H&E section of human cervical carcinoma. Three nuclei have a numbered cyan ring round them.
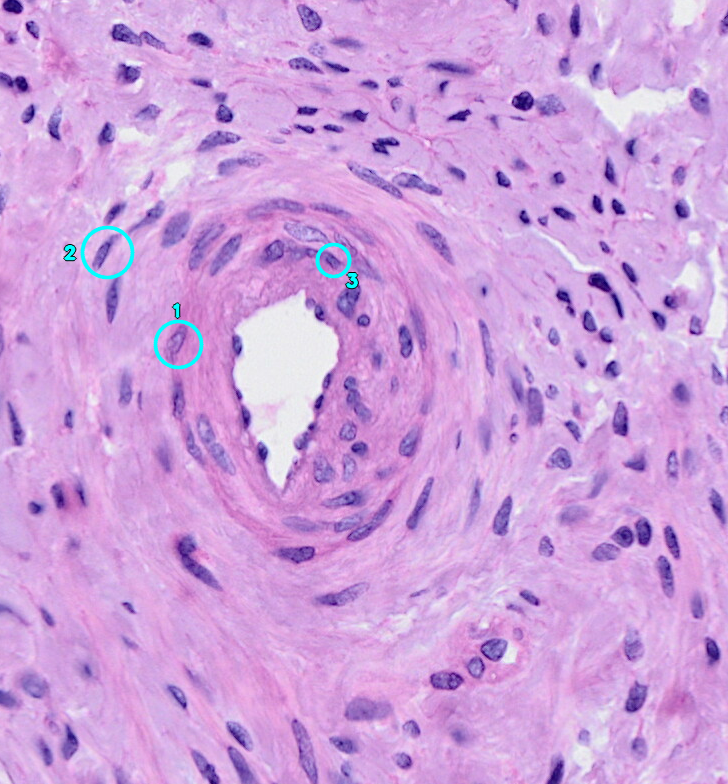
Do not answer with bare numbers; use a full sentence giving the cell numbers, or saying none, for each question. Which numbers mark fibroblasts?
Only number 2 is a fibroblast; none of the others are.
